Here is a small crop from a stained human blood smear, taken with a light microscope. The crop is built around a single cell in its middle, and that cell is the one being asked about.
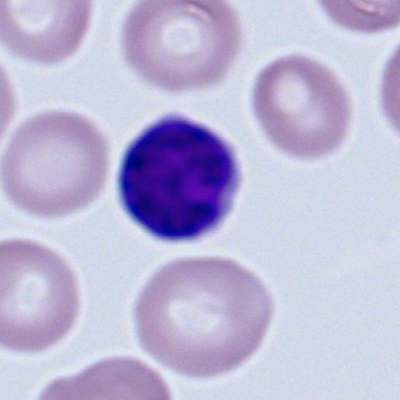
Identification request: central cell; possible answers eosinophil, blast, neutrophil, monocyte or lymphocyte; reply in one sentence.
In the center of this field lies a lymphocyte.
